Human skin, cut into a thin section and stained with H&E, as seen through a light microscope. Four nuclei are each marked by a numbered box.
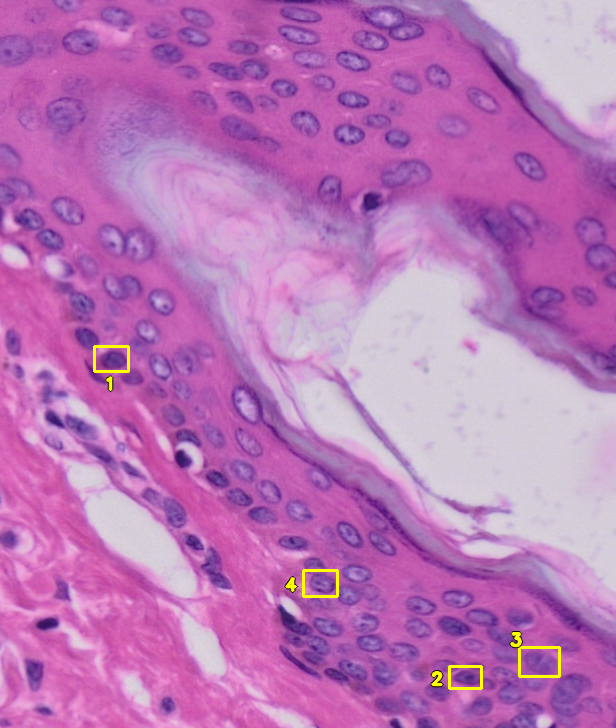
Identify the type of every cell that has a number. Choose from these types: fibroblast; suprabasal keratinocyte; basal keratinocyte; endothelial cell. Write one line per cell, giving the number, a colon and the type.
1: basal keratinocyte
2: basal keratinocyte
3: suprabasal keratinocyte
4: basal keratinocyte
